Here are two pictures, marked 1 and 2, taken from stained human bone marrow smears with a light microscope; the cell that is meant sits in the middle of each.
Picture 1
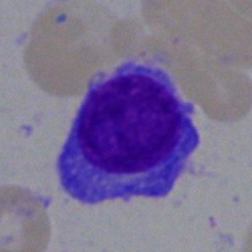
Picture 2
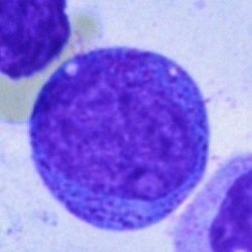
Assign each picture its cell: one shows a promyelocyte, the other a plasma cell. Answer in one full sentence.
In picture 1 the cell is a plasma cell; in picture 2, a promyelocyte.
